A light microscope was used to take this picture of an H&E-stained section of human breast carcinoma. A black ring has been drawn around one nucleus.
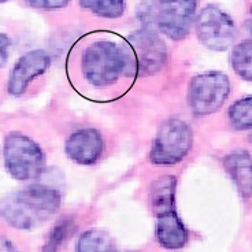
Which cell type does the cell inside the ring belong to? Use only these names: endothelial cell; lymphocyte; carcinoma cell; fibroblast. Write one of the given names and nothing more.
carcinoma cell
